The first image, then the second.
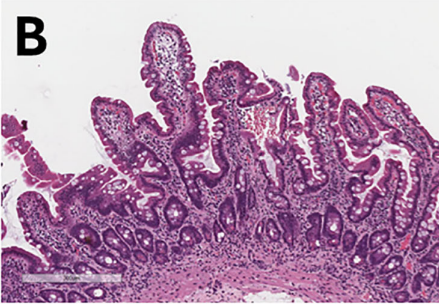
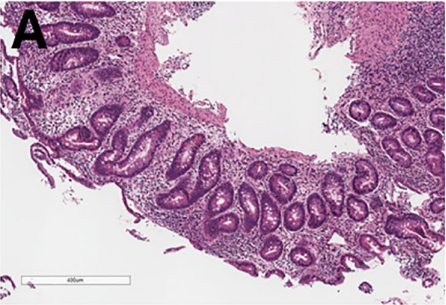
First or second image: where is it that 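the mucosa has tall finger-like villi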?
the first image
